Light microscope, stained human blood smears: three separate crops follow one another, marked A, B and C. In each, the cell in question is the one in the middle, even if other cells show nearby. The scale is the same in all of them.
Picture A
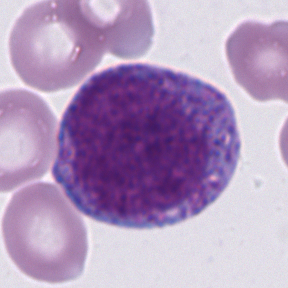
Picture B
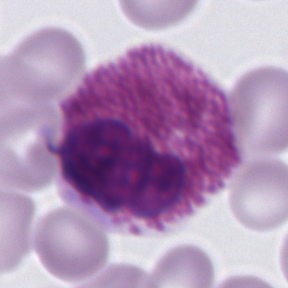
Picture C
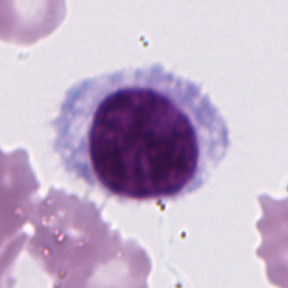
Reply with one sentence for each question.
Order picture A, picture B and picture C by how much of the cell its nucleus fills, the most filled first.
From the most filled to the least, the order is A, C, B.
